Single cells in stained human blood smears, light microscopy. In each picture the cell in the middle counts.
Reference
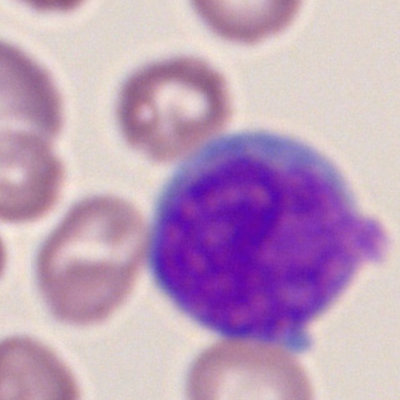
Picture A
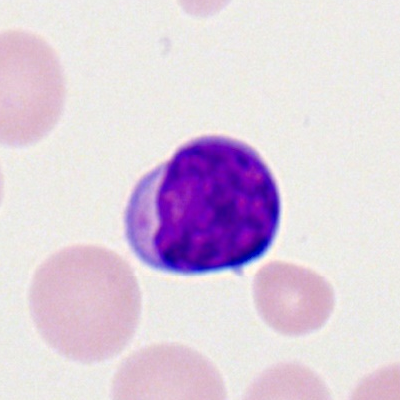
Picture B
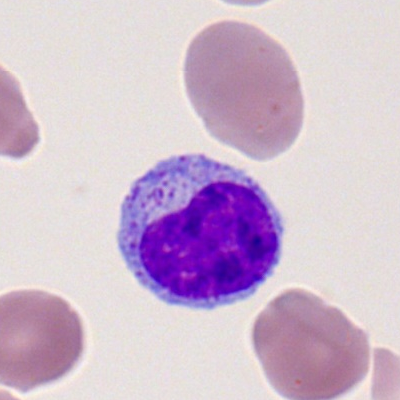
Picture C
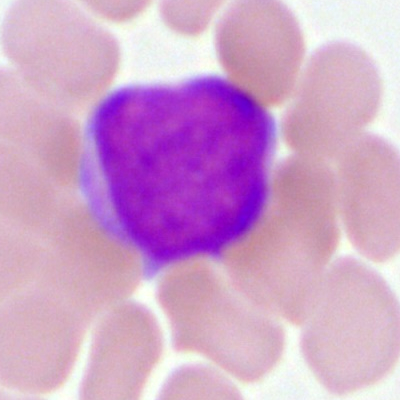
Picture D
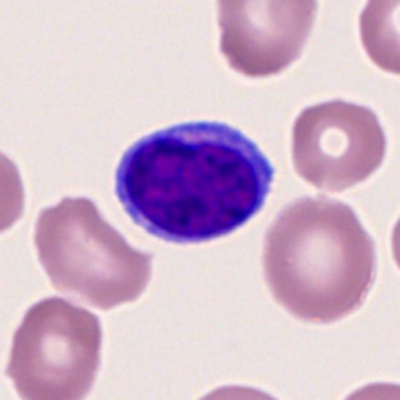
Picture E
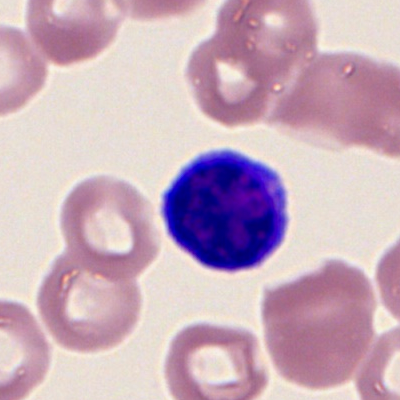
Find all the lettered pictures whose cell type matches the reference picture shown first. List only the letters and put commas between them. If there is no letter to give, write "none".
none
